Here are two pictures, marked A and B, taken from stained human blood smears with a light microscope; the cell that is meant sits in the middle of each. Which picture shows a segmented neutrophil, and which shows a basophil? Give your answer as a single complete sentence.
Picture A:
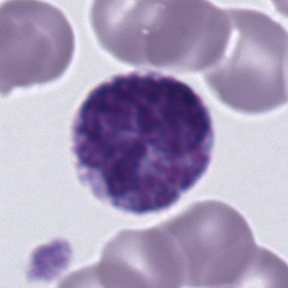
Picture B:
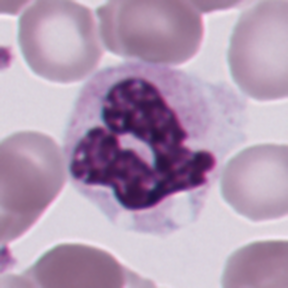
Picture A is of a basophil, and picture B is of a segmented neutrophil.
